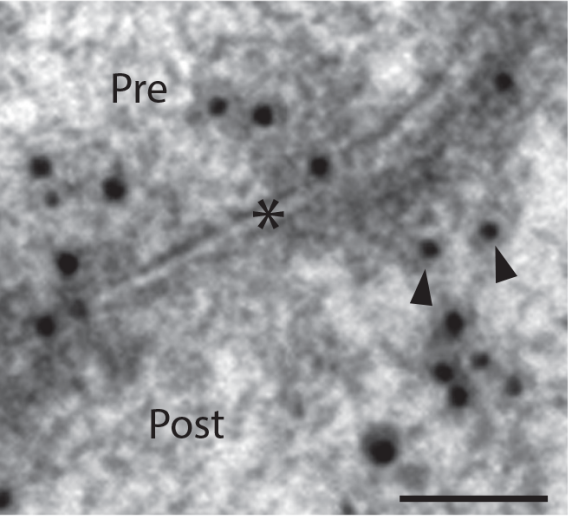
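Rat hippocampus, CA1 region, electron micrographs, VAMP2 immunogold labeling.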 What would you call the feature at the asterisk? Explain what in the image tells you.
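Synaptic cleft. The asterisk lies on a narrow gap bounded by two parallel membranes. The gap separates the profile labelled Pre from the profile labelled Post.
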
